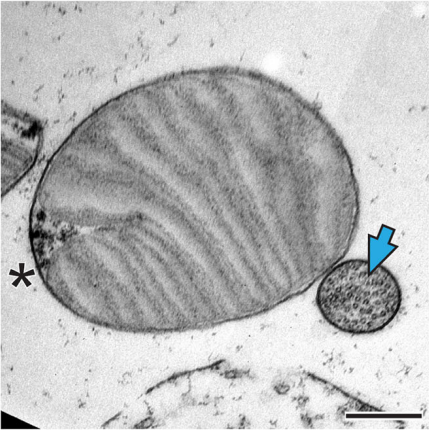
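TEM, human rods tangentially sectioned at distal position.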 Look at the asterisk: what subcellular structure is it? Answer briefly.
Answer: Ciliary axoneme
